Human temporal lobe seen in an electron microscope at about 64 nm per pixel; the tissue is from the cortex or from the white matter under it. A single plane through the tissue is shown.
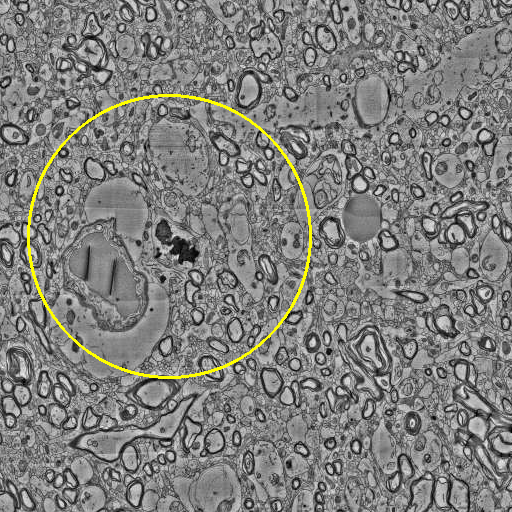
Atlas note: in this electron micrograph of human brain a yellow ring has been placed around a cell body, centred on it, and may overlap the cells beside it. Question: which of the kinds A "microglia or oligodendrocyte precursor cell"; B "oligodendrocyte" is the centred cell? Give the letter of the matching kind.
A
